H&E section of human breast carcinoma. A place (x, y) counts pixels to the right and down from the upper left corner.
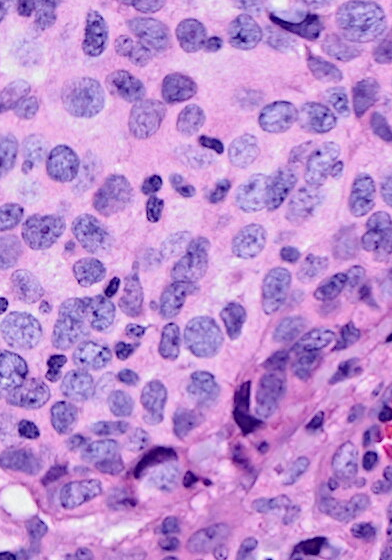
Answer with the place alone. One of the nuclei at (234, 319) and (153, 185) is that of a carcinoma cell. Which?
(234, 319)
